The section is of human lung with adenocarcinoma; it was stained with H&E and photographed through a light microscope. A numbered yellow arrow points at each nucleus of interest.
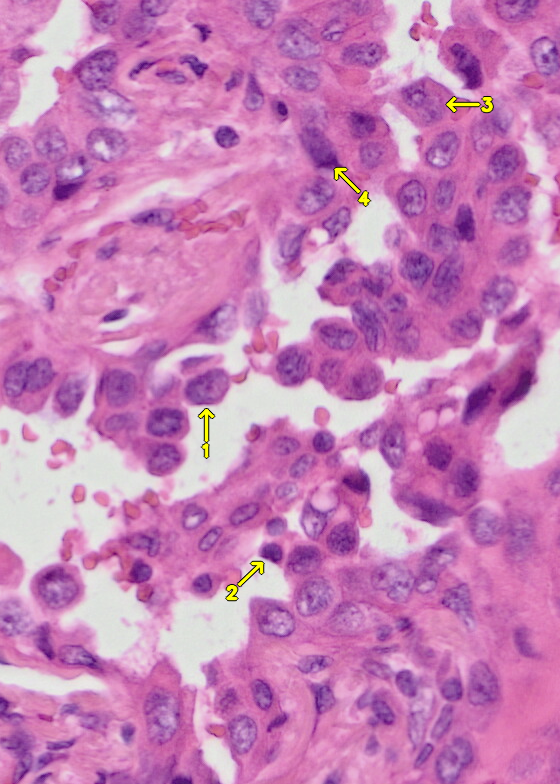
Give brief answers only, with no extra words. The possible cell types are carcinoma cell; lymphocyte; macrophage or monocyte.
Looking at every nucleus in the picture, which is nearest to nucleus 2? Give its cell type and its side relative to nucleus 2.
a lymphocyte above nucleus 2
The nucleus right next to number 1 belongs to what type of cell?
carcinoma cell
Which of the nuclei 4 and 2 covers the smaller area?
2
